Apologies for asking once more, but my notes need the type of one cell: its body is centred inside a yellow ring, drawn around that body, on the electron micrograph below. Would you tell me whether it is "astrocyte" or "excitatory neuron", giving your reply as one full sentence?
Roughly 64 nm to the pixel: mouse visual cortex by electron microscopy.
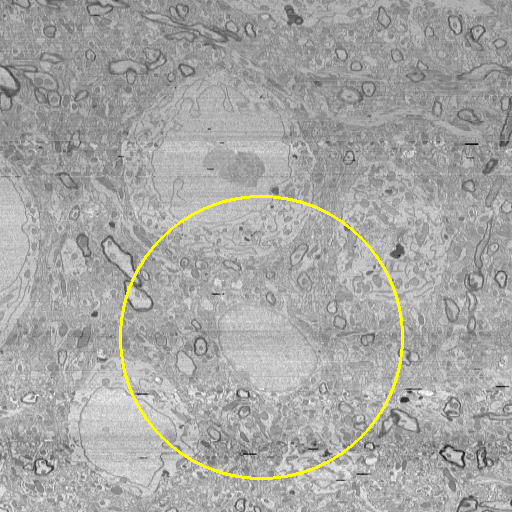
The cell that the yellow ring is centred on is an astrocyte in this micrograph.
